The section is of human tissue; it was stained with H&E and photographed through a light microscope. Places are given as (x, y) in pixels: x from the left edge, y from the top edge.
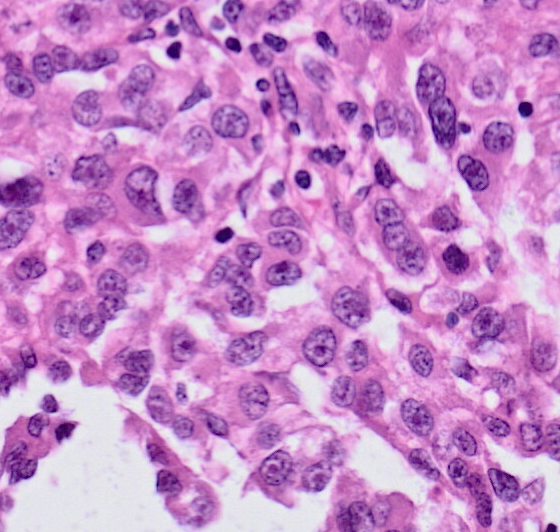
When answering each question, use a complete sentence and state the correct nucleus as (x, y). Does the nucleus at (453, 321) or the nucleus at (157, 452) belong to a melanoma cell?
It is the nucleus at (157, 452) that forms part of a melanoma cell.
